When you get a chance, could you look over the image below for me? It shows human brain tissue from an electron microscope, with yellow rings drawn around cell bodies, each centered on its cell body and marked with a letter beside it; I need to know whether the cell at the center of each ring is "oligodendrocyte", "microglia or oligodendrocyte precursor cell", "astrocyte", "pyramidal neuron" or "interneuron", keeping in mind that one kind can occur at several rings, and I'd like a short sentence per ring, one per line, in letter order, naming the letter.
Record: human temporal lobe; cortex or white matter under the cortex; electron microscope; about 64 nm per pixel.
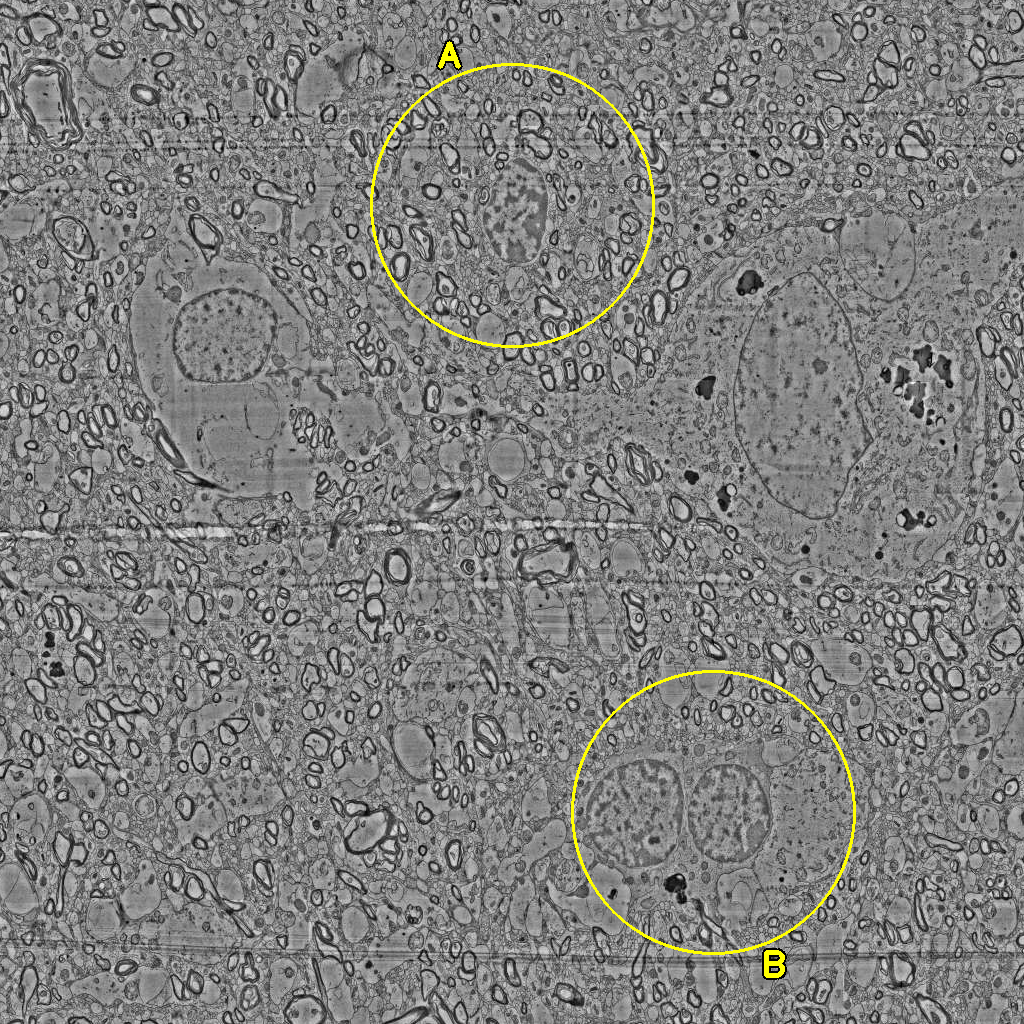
Ring A is centered on a microglial cell or oligodendrocyte precursor cell.
Ring B is centered on an oligodendrocyte.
